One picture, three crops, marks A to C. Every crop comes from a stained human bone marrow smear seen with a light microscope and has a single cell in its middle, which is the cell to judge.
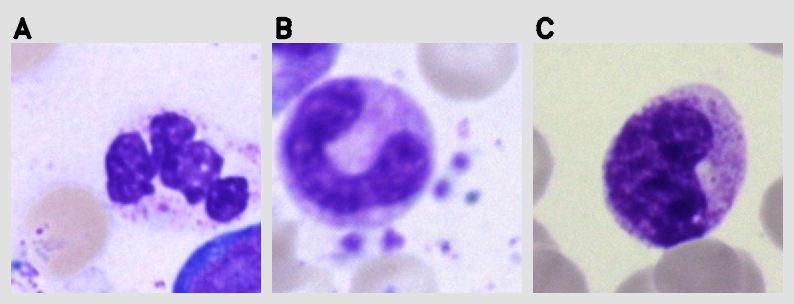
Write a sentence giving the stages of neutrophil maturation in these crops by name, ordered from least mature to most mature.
When ranked by maturity from lowest to highest, the order is crop C (a metamyelocyte), crop B (a band neutrophil) and crop A (a segmented neutrophil).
